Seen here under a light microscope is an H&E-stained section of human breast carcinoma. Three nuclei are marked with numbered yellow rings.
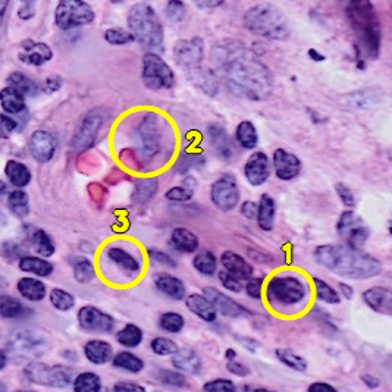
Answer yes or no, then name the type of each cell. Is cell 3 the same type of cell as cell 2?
No, cell 3 is a lymphocyte and cell 2 is an endothelial cell.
